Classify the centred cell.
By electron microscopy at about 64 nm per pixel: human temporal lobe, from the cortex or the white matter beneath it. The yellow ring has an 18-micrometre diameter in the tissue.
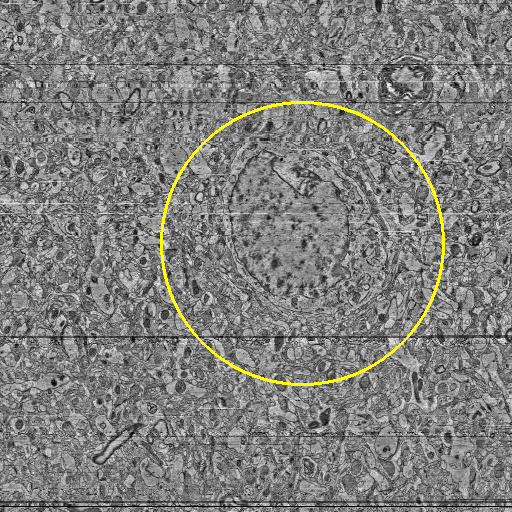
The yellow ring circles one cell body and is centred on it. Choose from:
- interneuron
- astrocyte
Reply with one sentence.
The ring is centred on an interneuron.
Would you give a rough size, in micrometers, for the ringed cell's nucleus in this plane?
About 9 micrometres by about 8 micrometres in this plane.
